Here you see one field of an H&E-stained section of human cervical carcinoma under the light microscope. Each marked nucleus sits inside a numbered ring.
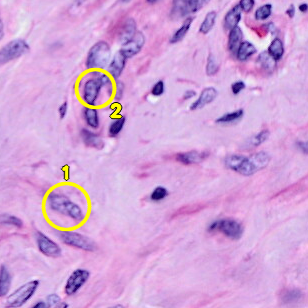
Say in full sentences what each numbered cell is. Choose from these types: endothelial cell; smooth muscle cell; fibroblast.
Cell 1 is a smooth muscle cell and cell 2 is an endothelial cell.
